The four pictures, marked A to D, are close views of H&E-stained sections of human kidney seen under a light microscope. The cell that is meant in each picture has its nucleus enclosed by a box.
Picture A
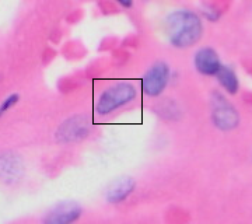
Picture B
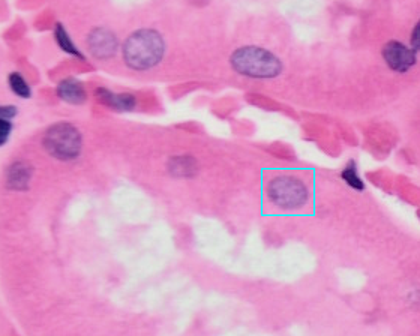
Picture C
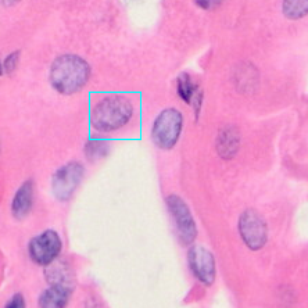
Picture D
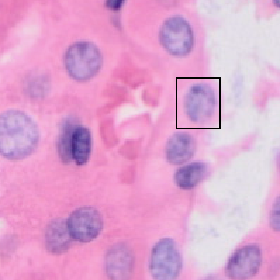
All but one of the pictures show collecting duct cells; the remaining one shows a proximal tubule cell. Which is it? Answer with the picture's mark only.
B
